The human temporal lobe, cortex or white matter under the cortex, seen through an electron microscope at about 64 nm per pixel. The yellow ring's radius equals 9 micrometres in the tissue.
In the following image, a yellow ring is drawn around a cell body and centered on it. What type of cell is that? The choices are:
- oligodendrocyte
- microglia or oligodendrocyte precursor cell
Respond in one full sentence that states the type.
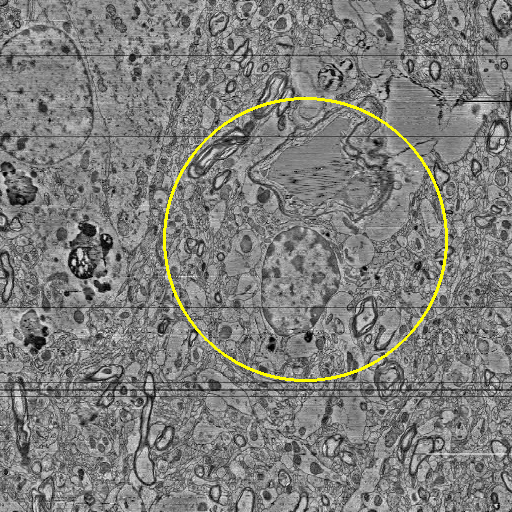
The cell at the center of the yellow ring in the image is a microglial cell or oligodendrocyte precursor cell.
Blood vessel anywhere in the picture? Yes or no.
Yes, there is a blood vessel in the image.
